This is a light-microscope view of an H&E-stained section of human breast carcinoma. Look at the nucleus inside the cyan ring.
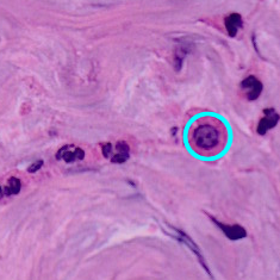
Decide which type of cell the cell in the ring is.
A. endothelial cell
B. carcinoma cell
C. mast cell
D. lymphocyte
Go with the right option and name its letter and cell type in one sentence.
The statement that the cell in the ring is a mast cell corresponds to option C, the correct one.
